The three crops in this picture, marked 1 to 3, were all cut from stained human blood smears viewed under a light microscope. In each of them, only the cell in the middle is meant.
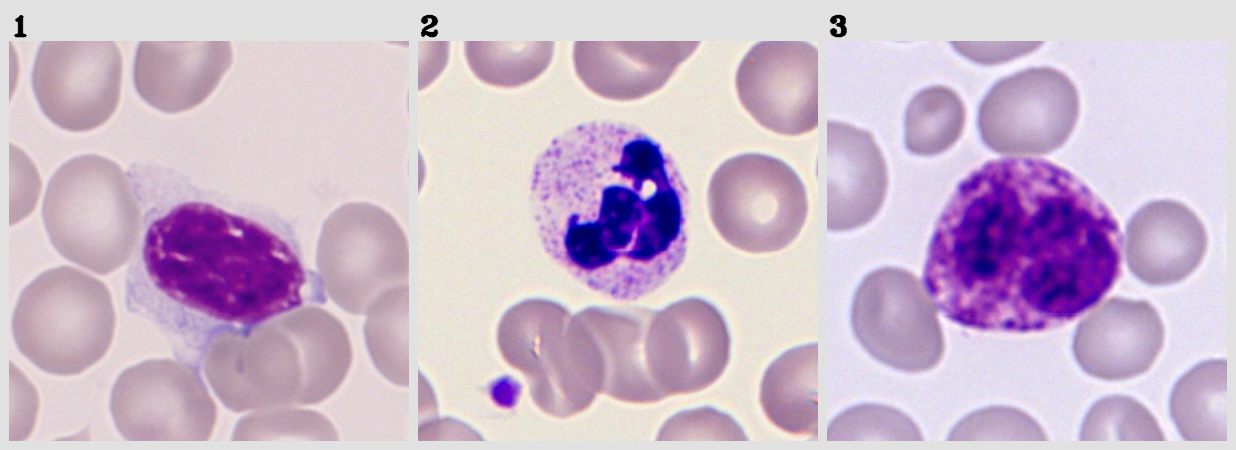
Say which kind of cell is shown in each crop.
1: lymphocyte
2: segmented neutrophil
3: basophil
